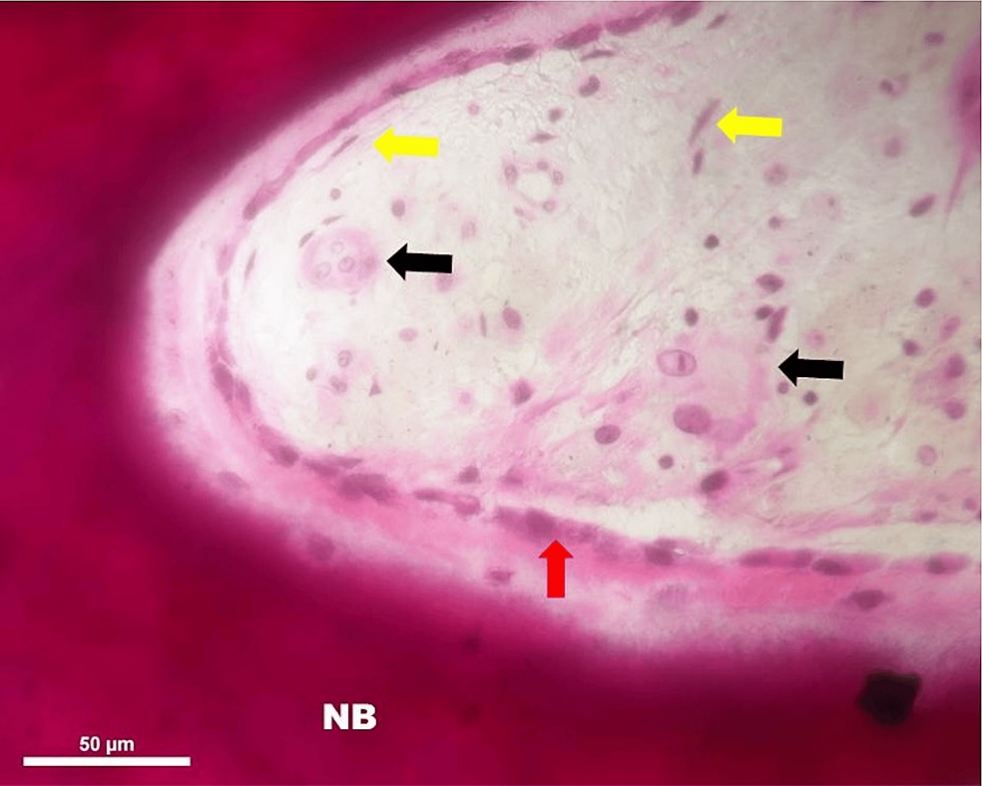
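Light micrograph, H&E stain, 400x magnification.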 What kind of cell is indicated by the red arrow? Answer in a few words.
Lining osteoblast cells.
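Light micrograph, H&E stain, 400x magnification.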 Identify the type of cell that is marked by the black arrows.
Multinucleated osteoclast giant cells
